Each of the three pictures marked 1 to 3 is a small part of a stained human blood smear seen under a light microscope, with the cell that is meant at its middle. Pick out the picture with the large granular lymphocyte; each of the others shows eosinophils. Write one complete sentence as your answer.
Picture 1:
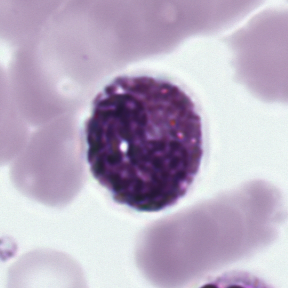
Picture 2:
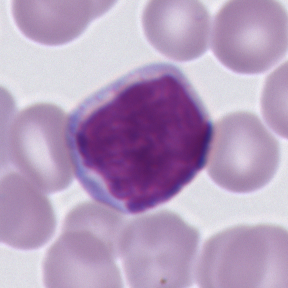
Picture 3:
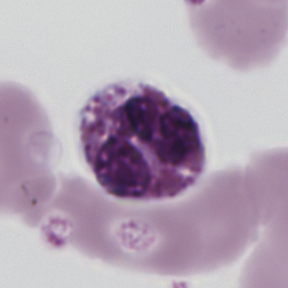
Picture 2 is the one that shows the large granular lymphocyte.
